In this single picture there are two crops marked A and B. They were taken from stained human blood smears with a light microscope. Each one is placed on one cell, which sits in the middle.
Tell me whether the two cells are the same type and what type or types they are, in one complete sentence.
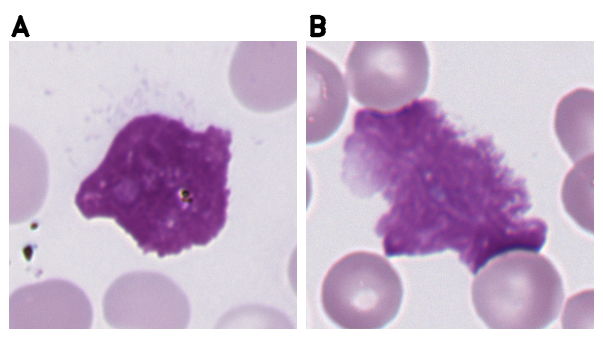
Yes, both crops show smudge cells as the central cells.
